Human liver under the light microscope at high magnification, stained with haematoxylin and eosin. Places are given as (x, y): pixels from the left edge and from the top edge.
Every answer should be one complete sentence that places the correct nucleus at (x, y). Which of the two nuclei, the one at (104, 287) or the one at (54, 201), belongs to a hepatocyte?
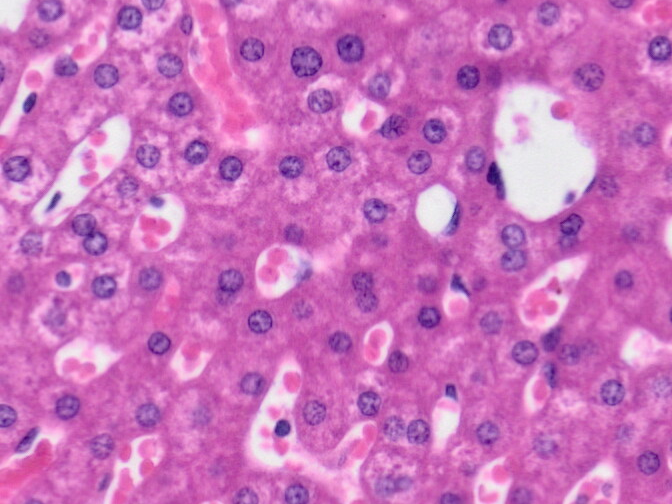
The nucleus whose cell is a hepatocyte is the one at (104, 287).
